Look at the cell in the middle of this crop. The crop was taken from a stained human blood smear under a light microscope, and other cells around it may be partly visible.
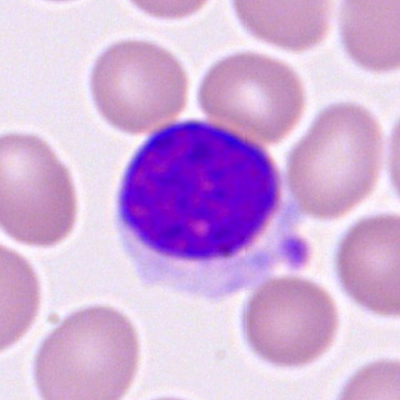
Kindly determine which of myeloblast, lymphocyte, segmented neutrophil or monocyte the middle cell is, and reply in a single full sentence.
By type, the central cell of the crop is a lymphocyte.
